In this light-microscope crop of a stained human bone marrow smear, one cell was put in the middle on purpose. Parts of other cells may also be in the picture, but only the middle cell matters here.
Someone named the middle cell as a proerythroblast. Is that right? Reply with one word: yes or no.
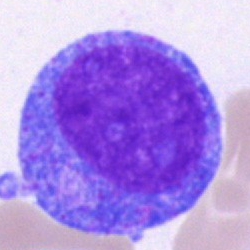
no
